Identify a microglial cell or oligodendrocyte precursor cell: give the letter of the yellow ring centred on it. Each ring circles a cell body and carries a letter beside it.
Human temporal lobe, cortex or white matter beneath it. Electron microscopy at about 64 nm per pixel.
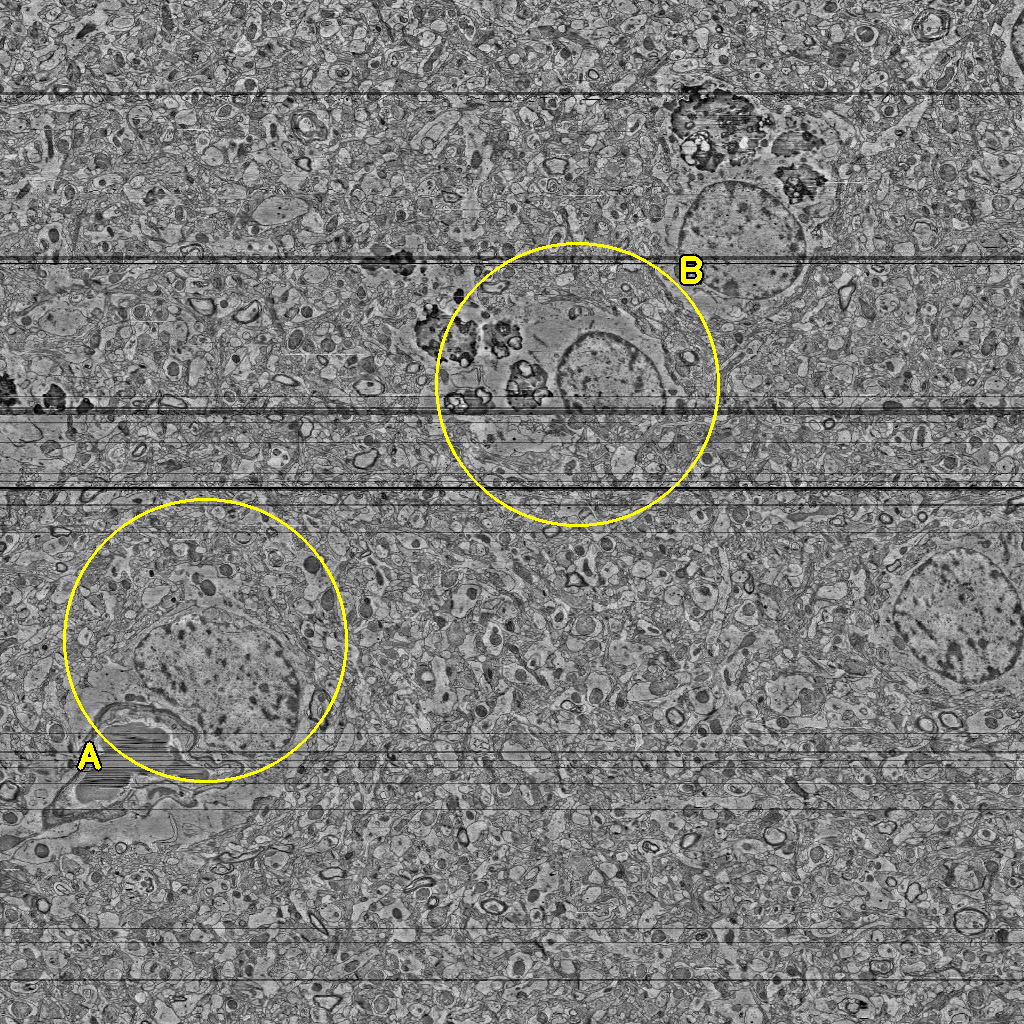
A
